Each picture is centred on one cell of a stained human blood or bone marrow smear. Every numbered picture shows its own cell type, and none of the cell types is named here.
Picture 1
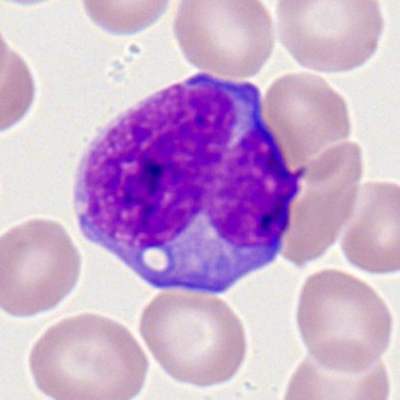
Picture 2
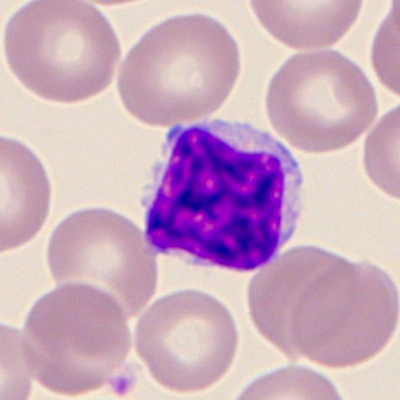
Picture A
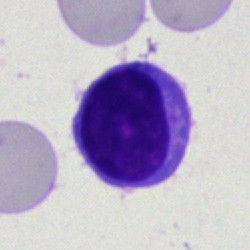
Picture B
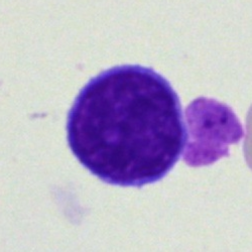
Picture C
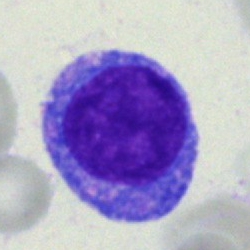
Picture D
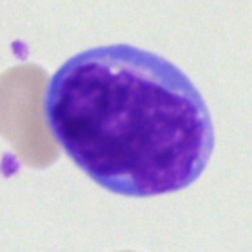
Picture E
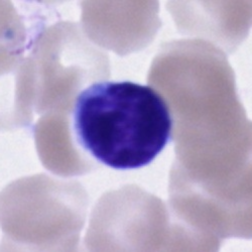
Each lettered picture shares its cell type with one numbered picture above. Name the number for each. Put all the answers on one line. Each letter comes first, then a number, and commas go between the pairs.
A 2, B 2, C 1, D 1, E 2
